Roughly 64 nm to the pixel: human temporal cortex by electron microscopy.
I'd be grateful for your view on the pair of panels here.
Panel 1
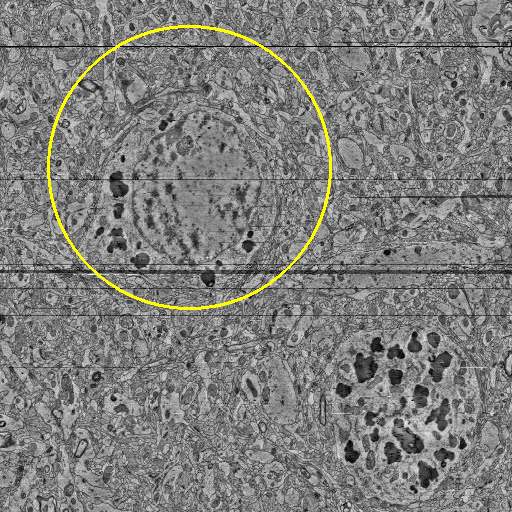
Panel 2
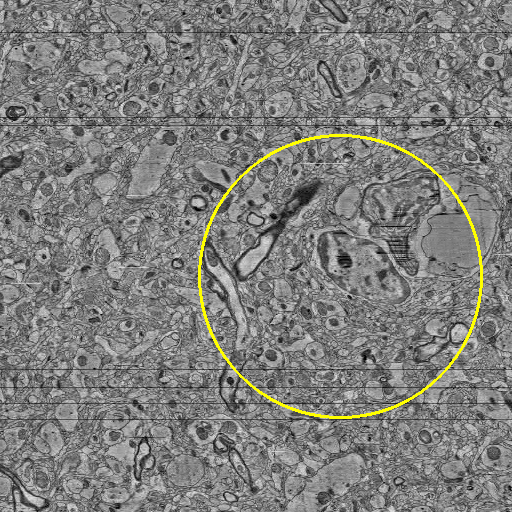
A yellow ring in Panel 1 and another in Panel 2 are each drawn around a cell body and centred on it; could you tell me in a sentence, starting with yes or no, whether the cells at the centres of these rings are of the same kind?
No, they are two kinds of cell.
